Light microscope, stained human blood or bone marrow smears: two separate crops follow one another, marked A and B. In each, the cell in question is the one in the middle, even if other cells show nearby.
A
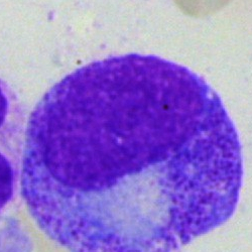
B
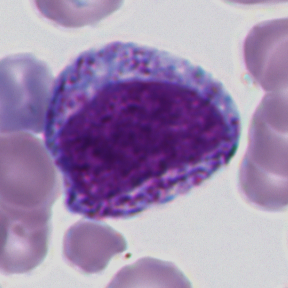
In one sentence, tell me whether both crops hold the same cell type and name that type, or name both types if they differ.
Yes, the two crops share the same answer, promyelocytes.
